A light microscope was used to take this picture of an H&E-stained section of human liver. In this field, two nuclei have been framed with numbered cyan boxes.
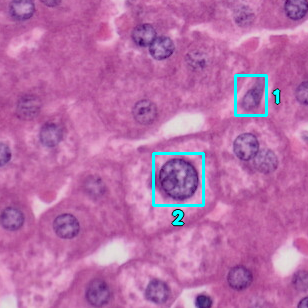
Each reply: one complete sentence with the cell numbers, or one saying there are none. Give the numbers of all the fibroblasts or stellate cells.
The numbered cells, taken together, include no fibroblasts or stellate cells.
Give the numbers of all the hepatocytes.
Where the numbered cells are concerned, only number 2 is a hepatocyte.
